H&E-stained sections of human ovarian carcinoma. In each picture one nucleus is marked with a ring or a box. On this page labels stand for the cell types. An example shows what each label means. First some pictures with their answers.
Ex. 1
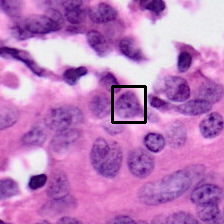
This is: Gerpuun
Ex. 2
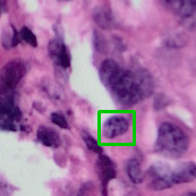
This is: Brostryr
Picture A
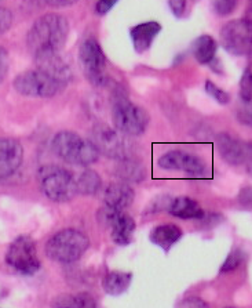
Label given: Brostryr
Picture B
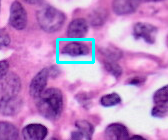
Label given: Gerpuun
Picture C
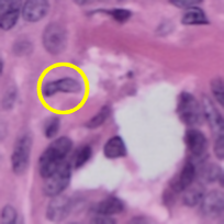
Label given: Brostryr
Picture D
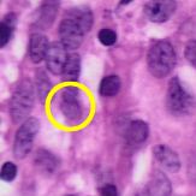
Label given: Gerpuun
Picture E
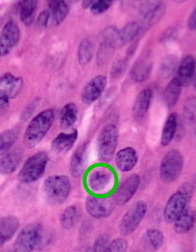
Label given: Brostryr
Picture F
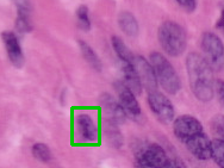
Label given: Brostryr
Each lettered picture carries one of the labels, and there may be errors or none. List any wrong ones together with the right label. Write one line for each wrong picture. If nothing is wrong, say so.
None of the labels needs changing.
